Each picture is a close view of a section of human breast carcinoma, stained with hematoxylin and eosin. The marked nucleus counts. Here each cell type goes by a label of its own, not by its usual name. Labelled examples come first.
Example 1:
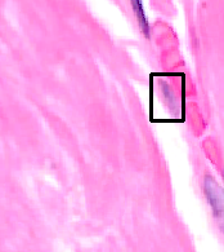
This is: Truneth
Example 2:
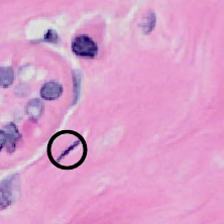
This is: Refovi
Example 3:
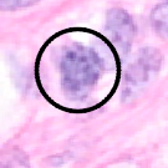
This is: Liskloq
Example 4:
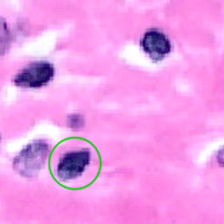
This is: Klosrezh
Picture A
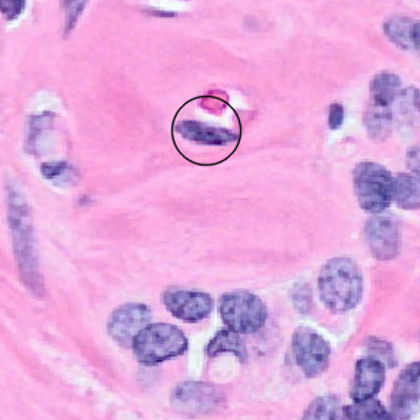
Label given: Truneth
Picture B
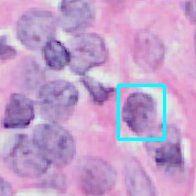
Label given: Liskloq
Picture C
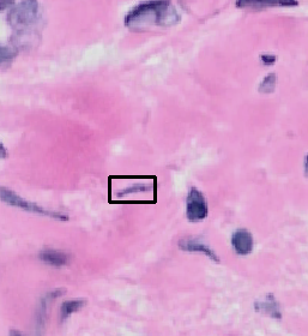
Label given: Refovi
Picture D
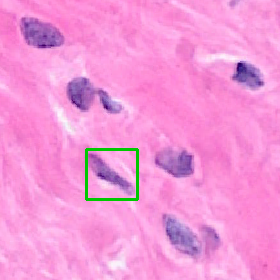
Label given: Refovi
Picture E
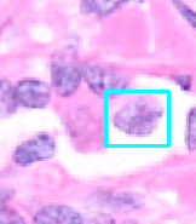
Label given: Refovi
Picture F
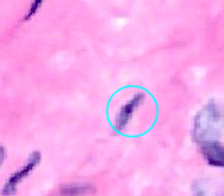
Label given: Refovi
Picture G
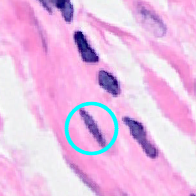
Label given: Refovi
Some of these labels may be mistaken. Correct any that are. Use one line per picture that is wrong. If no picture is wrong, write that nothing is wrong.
E: not Refovi but Liskloq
